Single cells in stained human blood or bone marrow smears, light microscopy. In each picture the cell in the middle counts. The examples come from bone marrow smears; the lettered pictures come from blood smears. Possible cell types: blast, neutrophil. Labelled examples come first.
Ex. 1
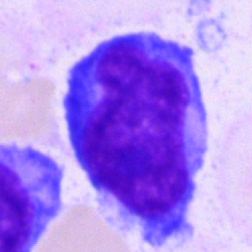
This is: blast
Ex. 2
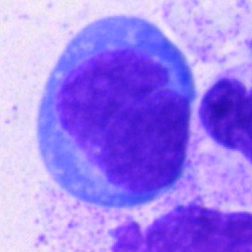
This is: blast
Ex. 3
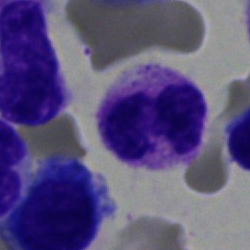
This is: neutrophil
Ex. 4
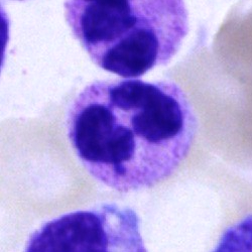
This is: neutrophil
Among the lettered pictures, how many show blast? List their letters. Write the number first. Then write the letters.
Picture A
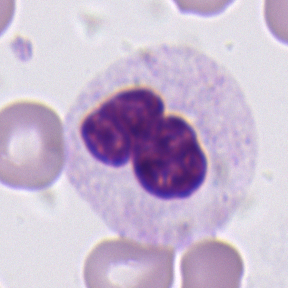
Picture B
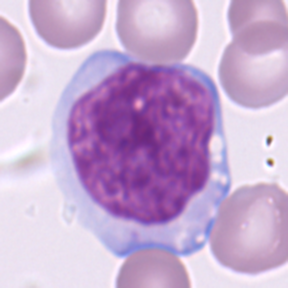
1, namely B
